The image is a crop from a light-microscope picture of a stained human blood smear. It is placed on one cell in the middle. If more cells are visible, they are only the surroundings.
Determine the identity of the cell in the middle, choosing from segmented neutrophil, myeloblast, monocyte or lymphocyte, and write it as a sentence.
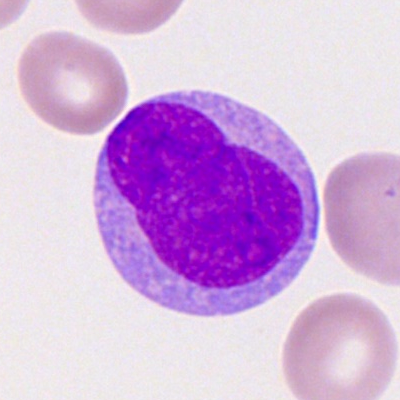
What the crop centres on is a myeloblast.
